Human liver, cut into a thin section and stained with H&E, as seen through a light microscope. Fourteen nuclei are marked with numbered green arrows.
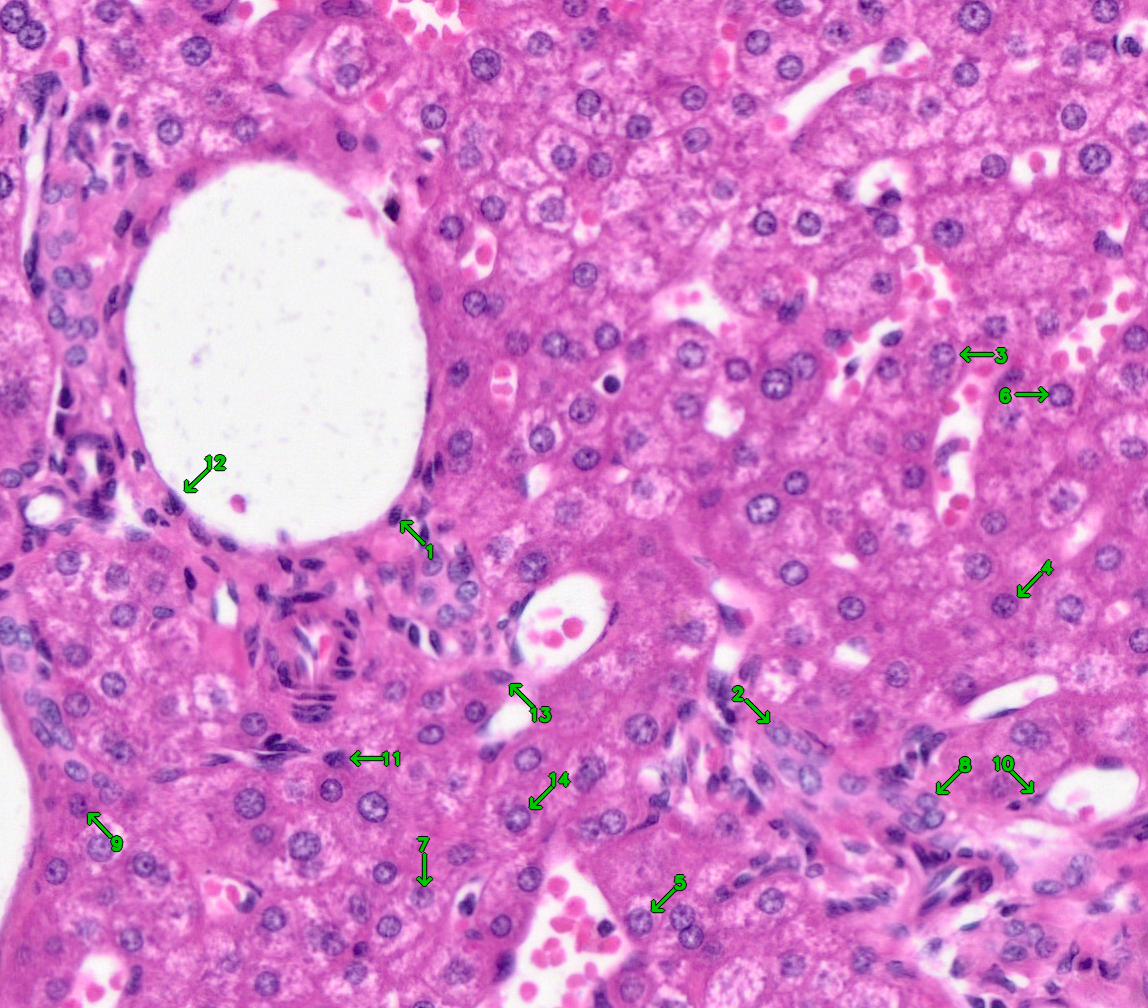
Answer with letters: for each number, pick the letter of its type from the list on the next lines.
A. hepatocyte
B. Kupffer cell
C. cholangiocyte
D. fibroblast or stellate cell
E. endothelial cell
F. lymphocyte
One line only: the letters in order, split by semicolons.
D; C; A; A; A; A; A; C; C; D; D; D; D; A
